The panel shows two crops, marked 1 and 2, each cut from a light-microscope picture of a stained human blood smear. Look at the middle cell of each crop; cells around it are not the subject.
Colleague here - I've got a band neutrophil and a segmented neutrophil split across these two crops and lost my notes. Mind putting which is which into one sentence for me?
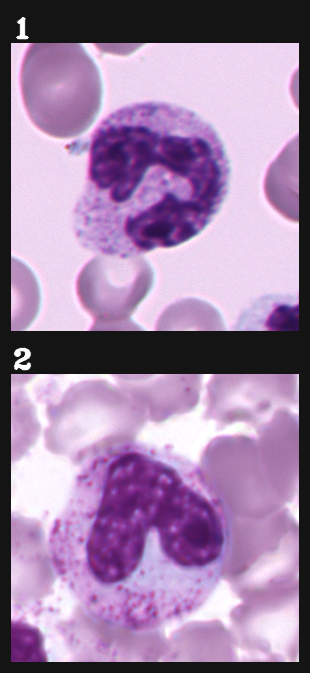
Identified in crop 1 is a segmented neutrophil, with a band neutrophil identified in crop 2.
